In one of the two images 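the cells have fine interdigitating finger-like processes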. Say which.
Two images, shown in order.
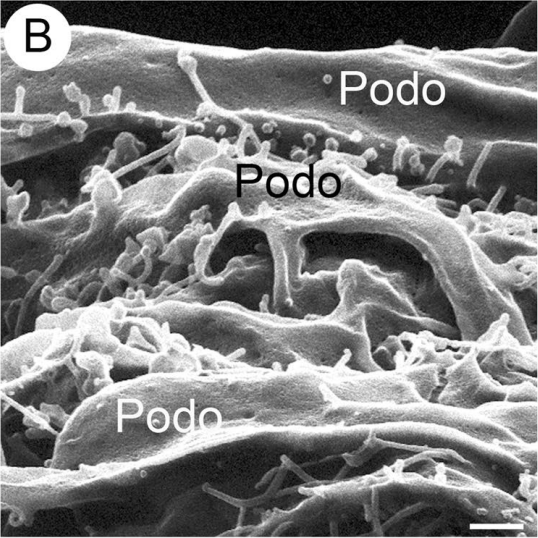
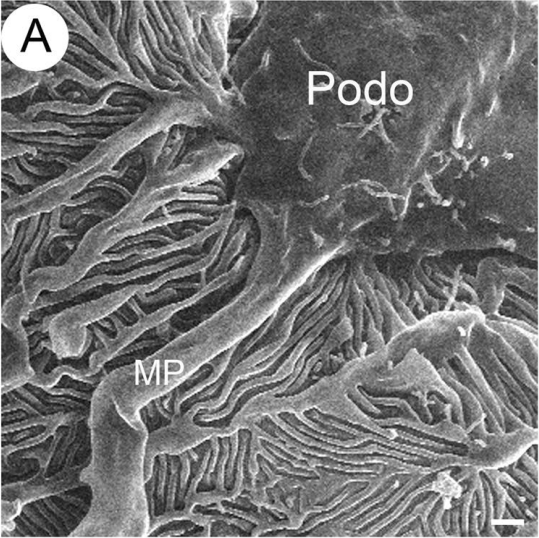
The second image.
